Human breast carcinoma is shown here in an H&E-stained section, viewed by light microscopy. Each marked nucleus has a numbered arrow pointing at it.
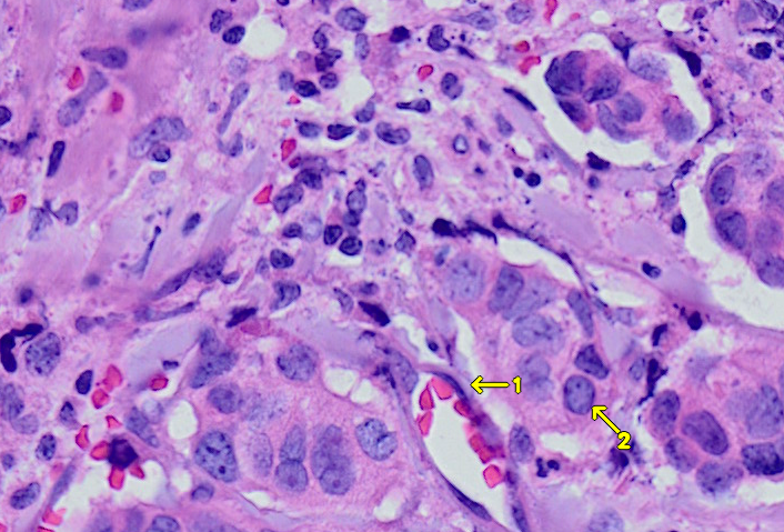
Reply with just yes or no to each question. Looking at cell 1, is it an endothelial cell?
yes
